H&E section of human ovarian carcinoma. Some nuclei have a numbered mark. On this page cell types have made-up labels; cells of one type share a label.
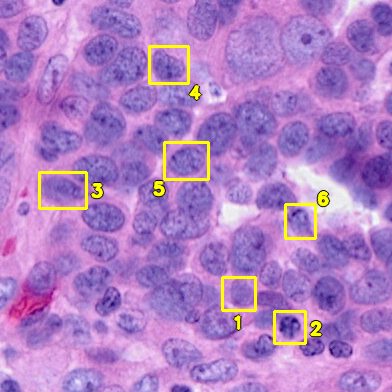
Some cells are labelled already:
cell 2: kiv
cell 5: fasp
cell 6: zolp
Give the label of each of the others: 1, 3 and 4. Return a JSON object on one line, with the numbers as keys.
{"1": "fasp", "3": "fasp", "4": "fasp"}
